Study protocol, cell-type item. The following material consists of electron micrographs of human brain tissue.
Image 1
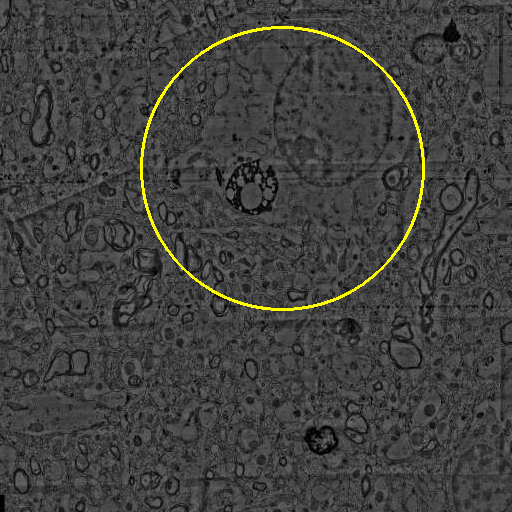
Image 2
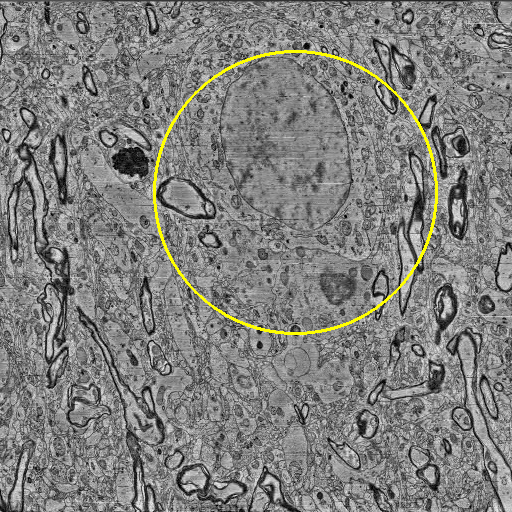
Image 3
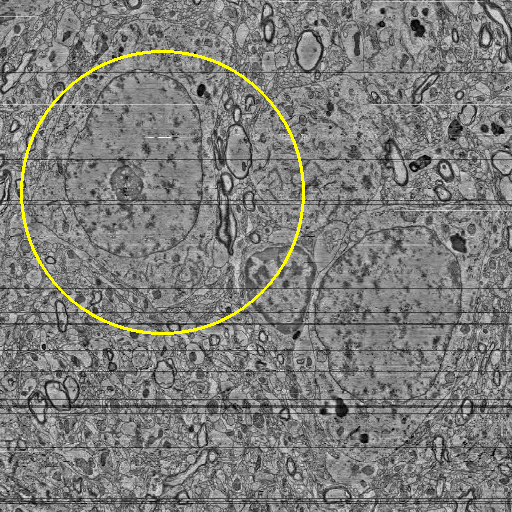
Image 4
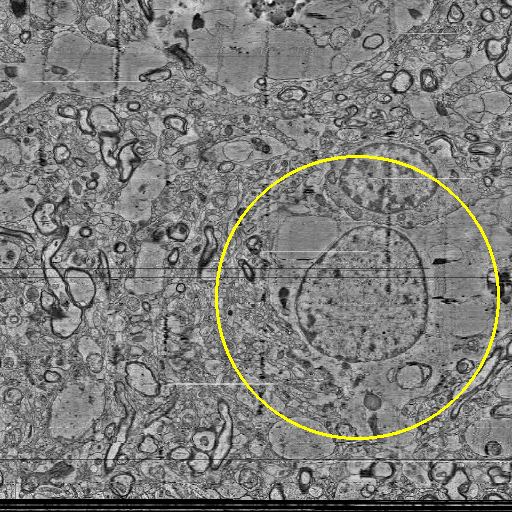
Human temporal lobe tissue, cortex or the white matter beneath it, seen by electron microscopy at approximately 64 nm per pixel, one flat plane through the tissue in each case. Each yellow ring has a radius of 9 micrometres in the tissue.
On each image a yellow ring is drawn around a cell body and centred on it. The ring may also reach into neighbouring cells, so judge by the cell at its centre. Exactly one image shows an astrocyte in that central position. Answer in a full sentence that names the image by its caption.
The cell at the centre of the ring in Image 4 is of that kind.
